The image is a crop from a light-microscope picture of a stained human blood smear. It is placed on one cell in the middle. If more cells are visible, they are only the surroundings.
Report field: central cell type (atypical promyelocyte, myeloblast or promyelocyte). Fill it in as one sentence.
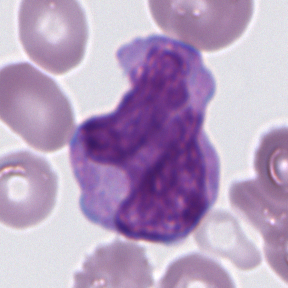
The cell at the middle of the frame should be recorded as an atypical promyelocyte.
